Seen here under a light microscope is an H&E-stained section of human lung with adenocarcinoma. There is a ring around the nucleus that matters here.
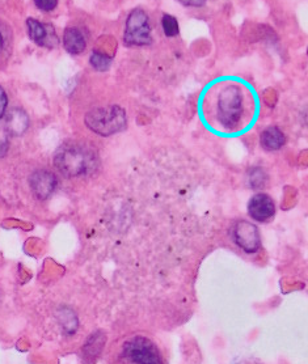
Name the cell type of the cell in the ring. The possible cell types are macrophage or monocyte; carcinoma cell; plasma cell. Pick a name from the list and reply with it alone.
macrophage or monocyte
